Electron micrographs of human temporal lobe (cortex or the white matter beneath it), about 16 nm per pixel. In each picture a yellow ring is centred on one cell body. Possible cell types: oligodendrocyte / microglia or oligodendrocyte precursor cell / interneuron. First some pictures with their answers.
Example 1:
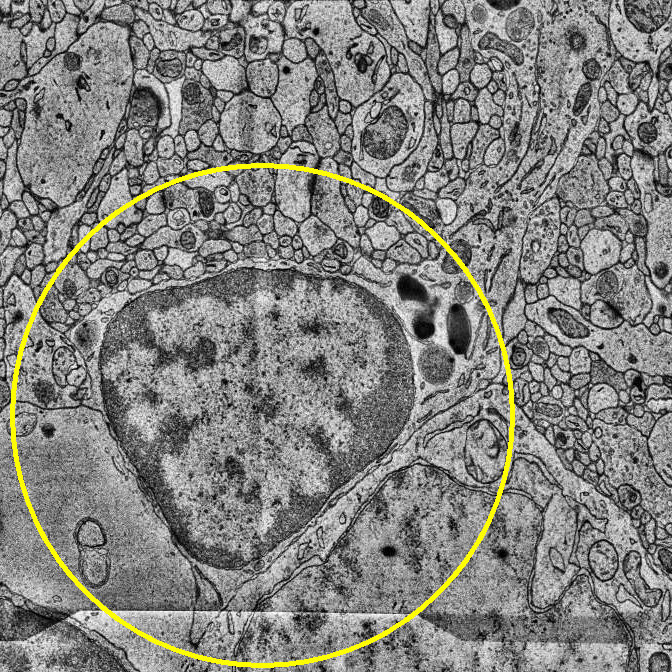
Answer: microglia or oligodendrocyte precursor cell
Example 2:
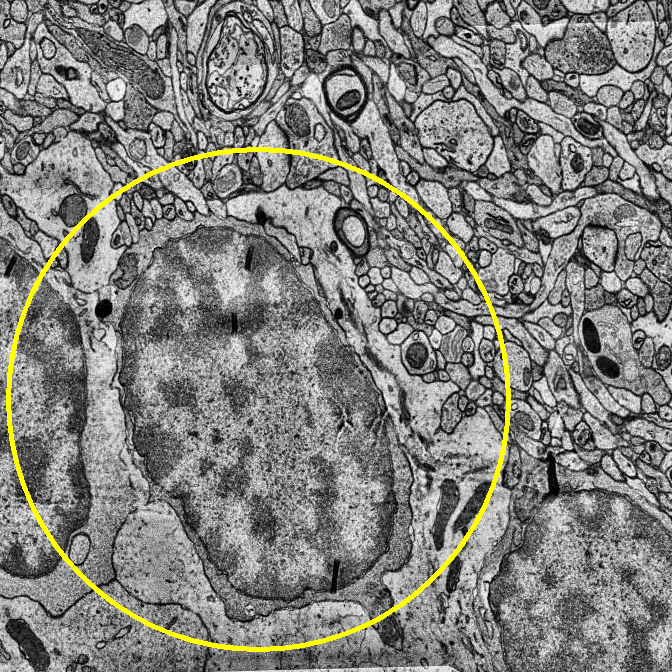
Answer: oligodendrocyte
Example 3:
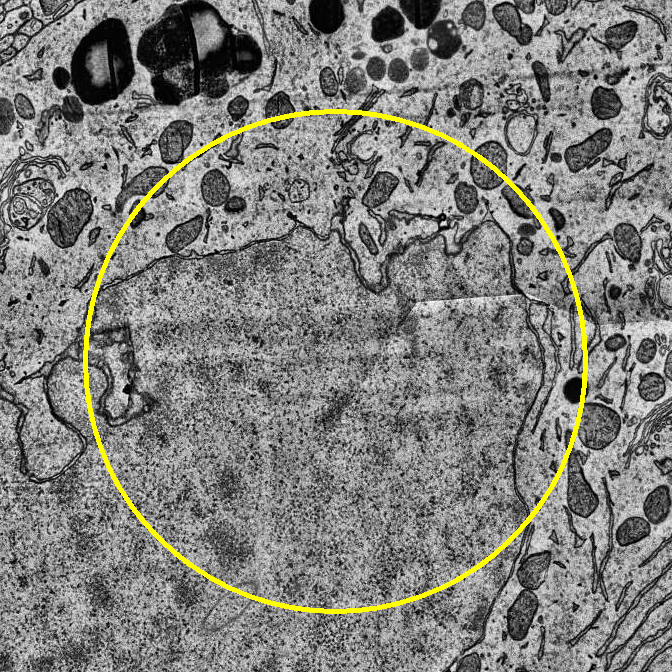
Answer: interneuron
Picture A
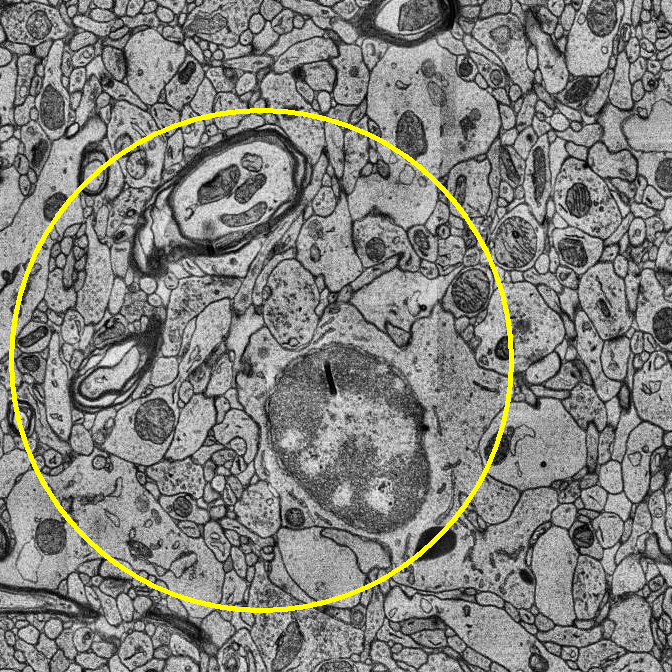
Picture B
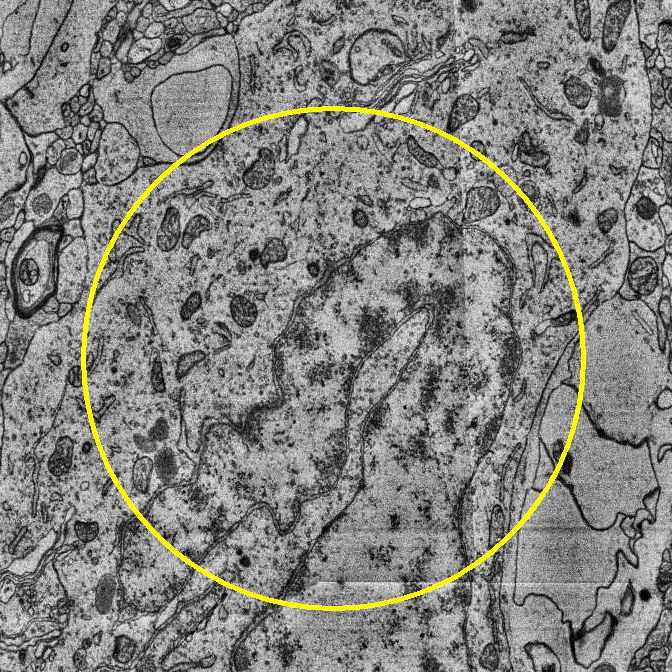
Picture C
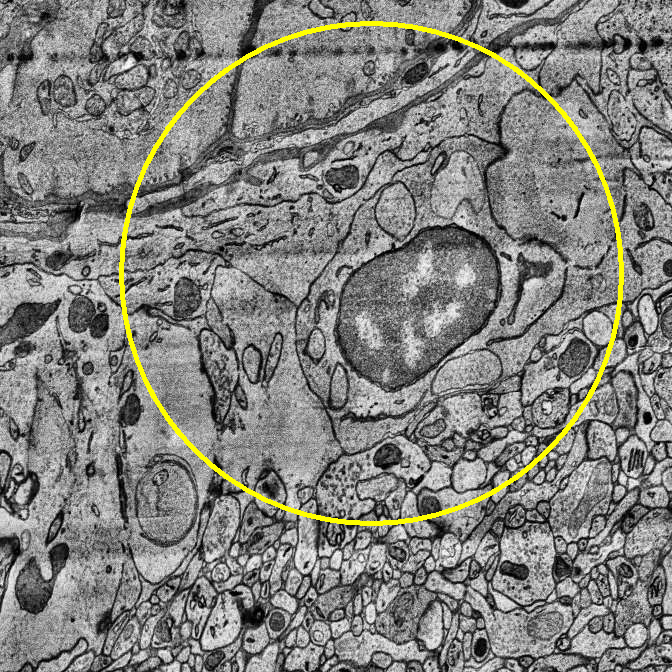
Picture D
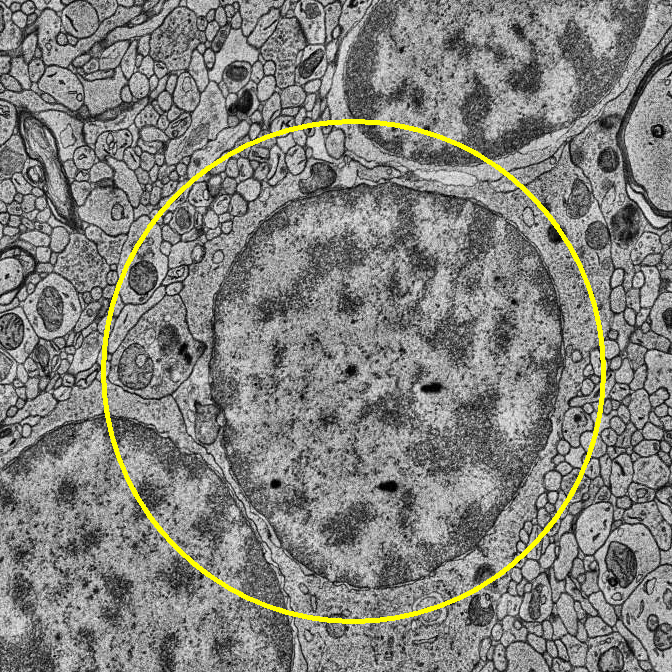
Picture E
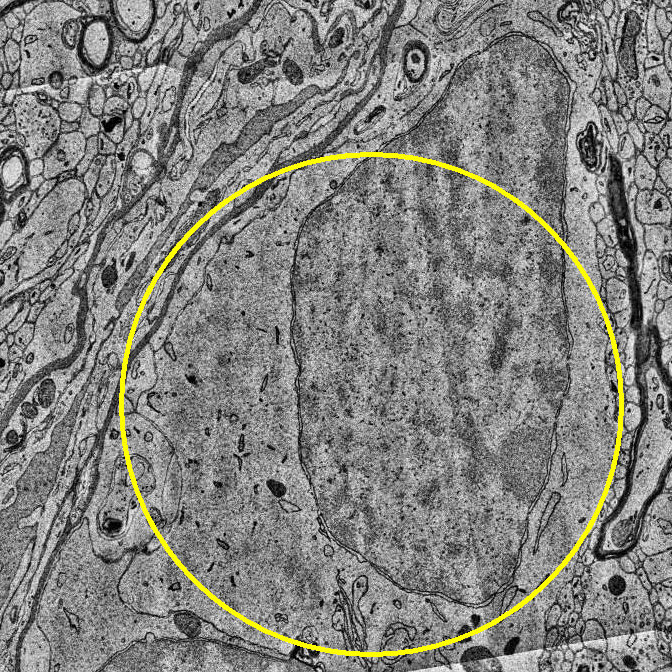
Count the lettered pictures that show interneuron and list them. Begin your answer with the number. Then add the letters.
1, namely B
